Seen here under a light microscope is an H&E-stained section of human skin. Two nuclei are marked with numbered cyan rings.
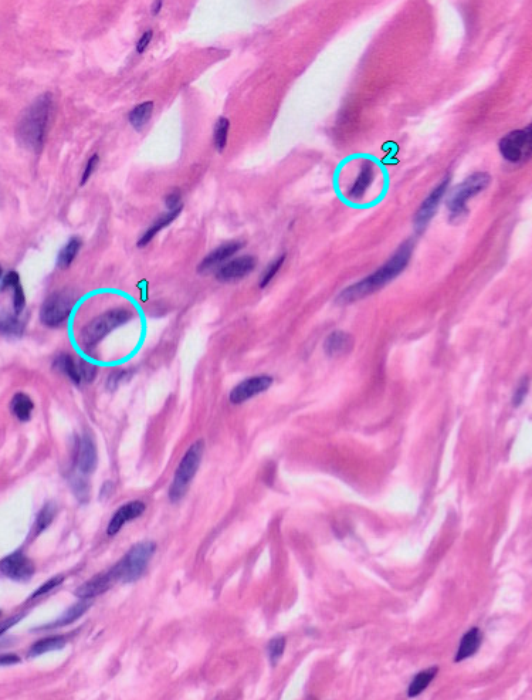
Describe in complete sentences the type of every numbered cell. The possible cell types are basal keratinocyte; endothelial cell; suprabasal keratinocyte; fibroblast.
Cell 1 is an endothelial cell. Cell 2 is a fibroblast.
